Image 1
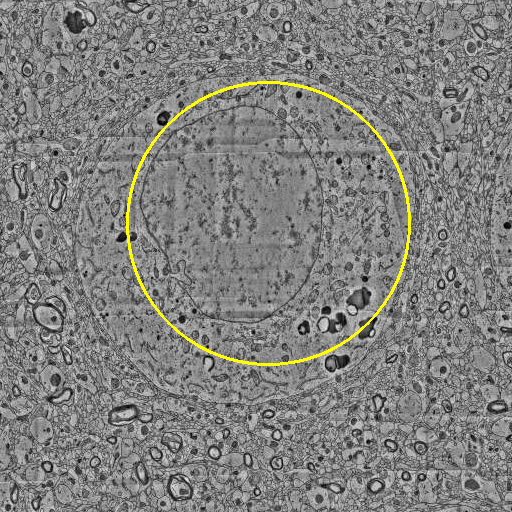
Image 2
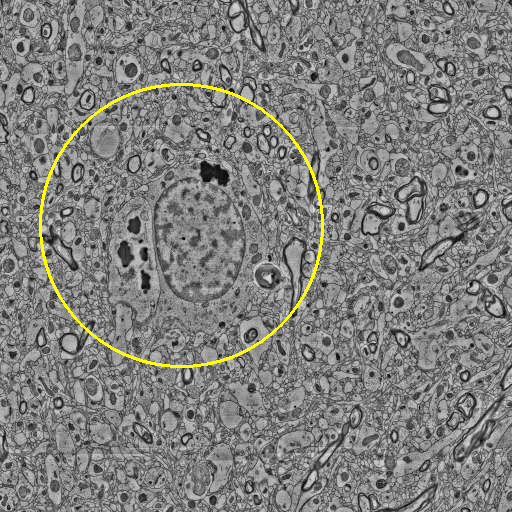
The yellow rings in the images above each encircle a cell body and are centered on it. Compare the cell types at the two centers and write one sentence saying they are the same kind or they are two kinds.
Taken together, the two cells at the ring centers are two kinds.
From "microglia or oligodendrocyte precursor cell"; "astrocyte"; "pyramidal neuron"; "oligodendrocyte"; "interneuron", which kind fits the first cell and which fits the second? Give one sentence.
The cell marked in the first picture is a pyramidal neuron, and the one marked in the second is an oligodendrocyte.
